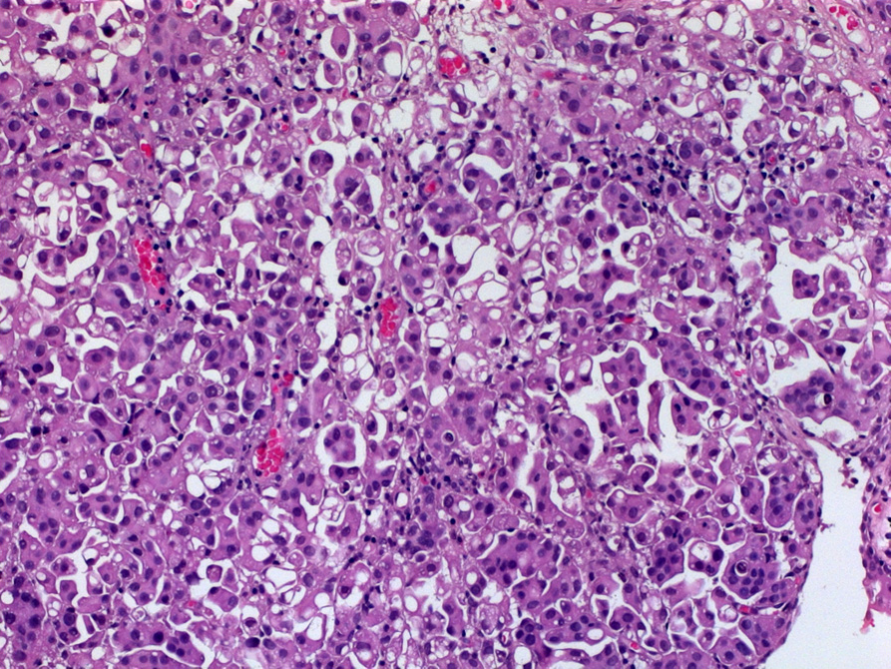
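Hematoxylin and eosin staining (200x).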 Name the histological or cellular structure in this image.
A: Small nests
